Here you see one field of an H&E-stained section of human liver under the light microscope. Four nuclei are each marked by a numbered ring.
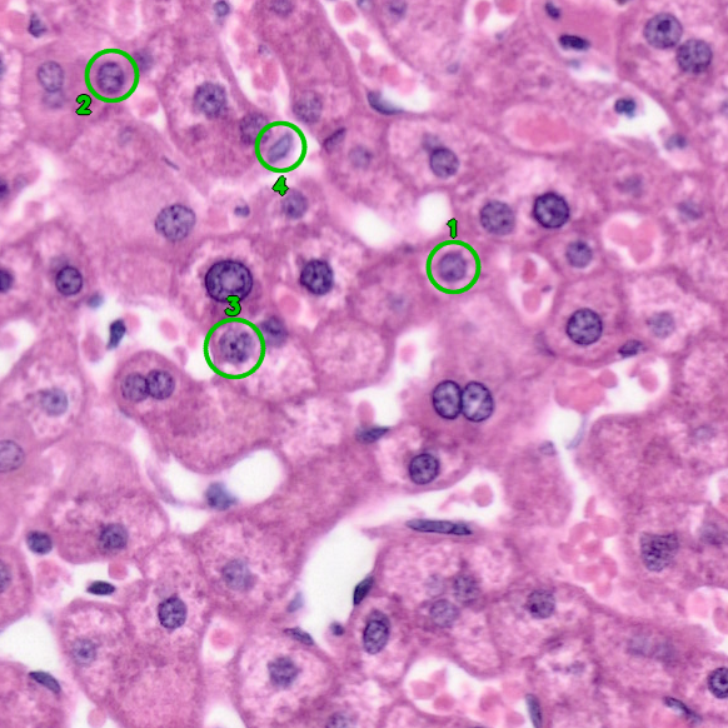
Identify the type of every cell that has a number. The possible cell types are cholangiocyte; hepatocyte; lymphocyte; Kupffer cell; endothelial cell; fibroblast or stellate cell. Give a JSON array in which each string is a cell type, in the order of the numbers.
["hepatocyte", "hepatocyte", "hepatocyte", "Kupffer cell"]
